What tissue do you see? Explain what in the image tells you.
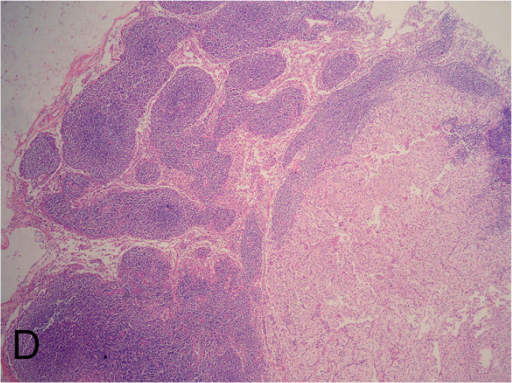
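Dense dark purple lymphoid nodules with follicles under a thin capsule. A pale region on one side differs from the lymphoid tissue.
Conclusion: lymph nodes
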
